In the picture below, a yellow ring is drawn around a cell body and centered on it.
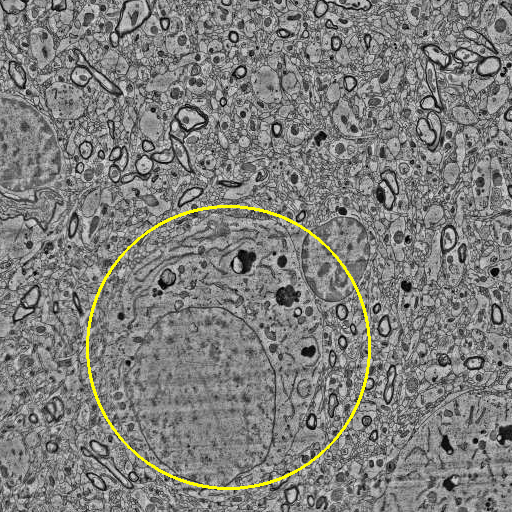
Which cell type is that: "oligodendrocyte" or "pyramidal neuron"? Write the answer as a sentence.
The cell centered in the ring is a pyramidal neuron.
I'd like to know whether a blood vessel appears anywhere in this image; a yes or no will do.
No, none shows.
